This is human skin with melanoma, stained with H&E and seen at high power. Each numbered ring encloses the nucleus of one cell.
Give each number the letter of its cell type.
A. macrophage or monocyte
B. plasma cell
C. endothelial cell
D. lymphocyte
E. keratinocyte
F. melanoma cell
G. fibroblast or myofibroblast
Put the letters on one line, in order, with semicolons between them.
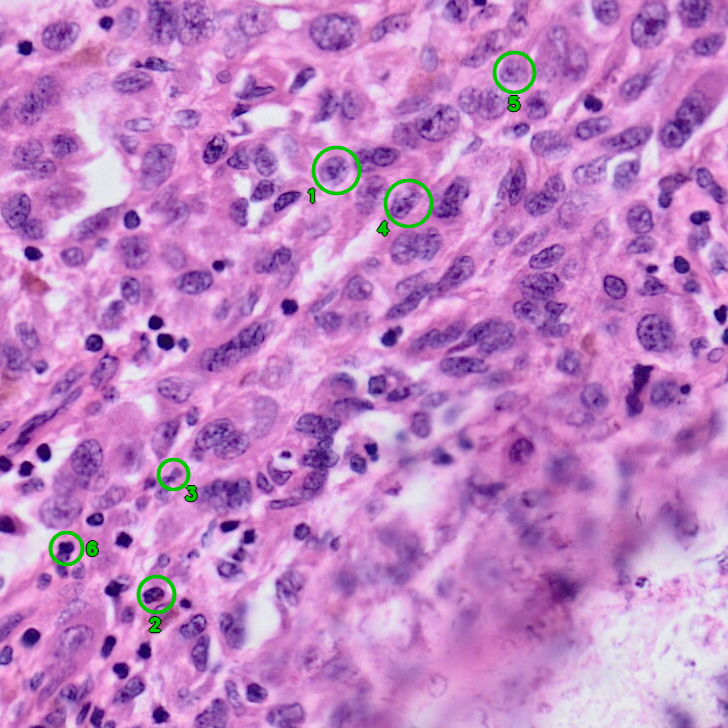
F; D; A; F; F; D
